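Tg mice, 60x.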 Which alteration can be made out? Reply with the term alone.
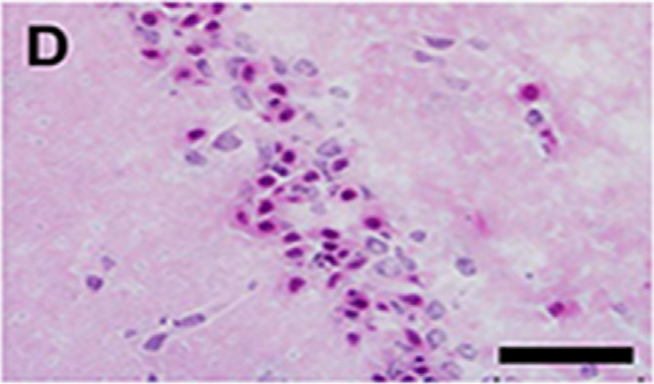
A: Hippocampal injury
